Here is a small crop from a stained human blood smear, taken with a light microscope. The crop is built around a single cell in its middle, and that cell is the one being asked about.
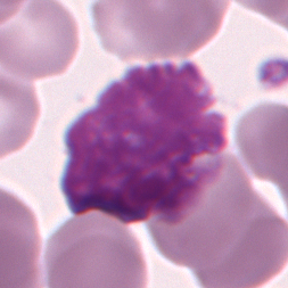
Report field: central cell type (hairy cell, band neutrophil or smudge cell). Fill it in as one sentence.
The cell positioned in the middle of the field is a smudge cell.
